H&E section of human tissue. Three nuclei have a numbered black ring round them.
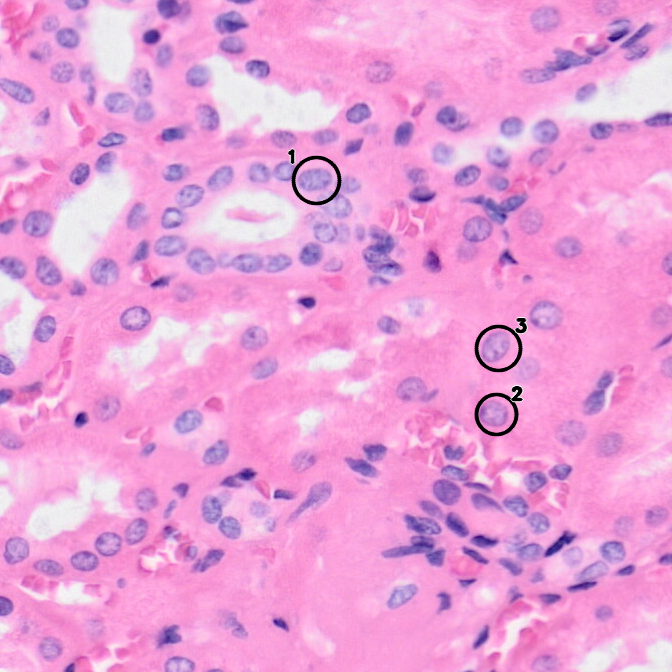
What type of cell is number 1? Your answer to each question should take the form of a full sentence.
Nucleus 1 in this section belongs to a collecting duct cell.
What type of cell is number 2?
The label 2 in this section denotes a proximal tubule cell.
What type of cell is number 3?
The nucleus with number 3 is that of a proximal tubule cell.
